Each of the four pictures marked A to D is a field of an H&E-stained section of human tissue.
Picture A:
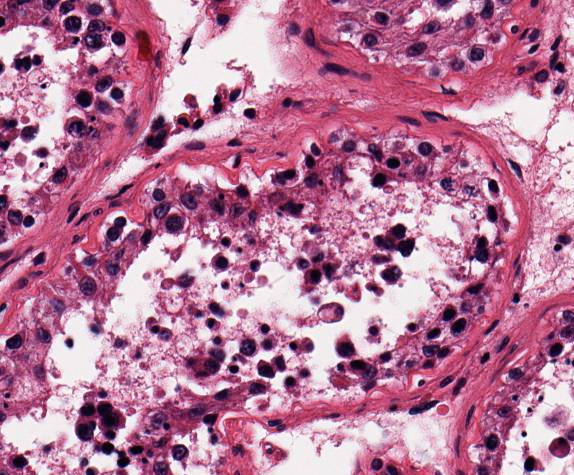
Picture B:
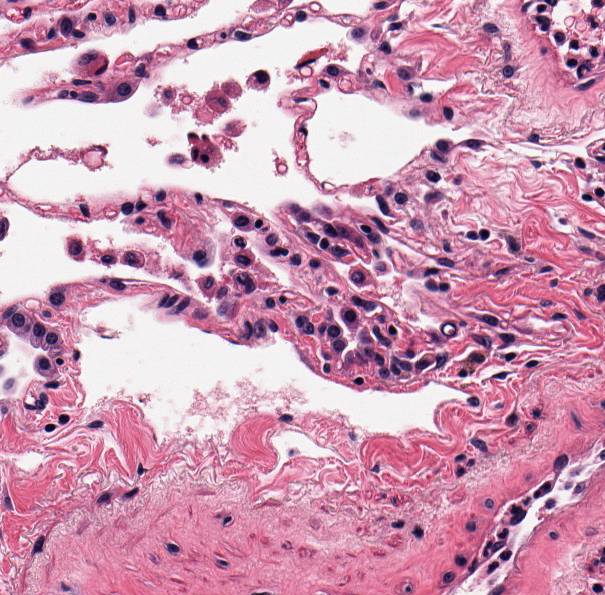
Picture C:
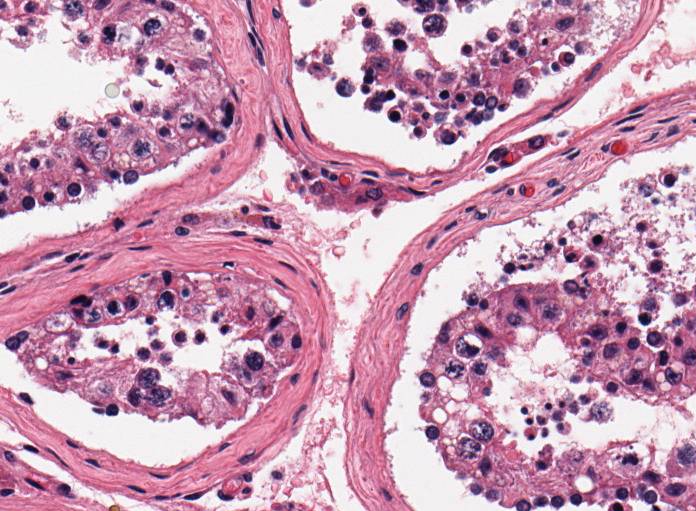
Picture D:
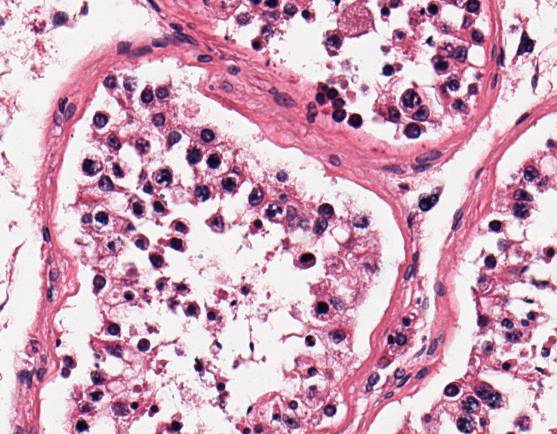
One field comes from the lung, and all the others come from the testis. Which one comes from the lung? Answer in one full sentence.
Picture B comes from the lung.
